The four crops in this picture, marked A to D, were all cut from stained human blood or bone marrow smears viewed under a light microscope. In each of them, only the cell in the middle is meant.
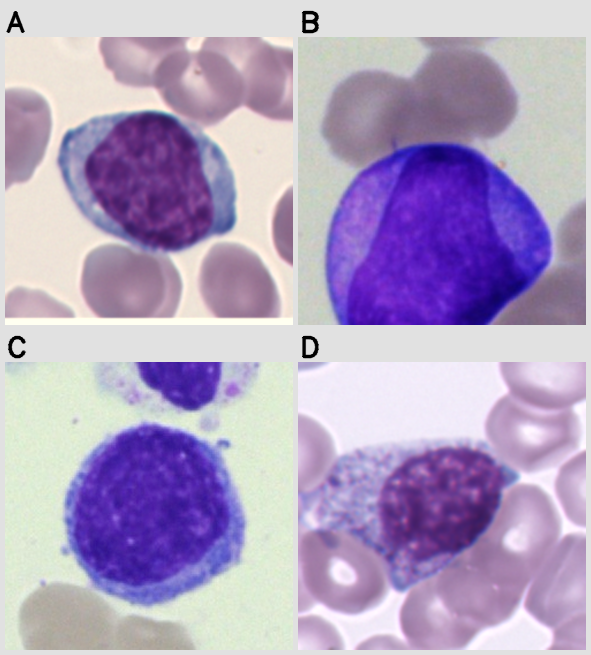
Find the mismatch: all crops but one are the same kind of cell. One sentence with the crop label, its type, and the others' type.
All the crops show blasts, barring crop D, which is a myelocyte.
